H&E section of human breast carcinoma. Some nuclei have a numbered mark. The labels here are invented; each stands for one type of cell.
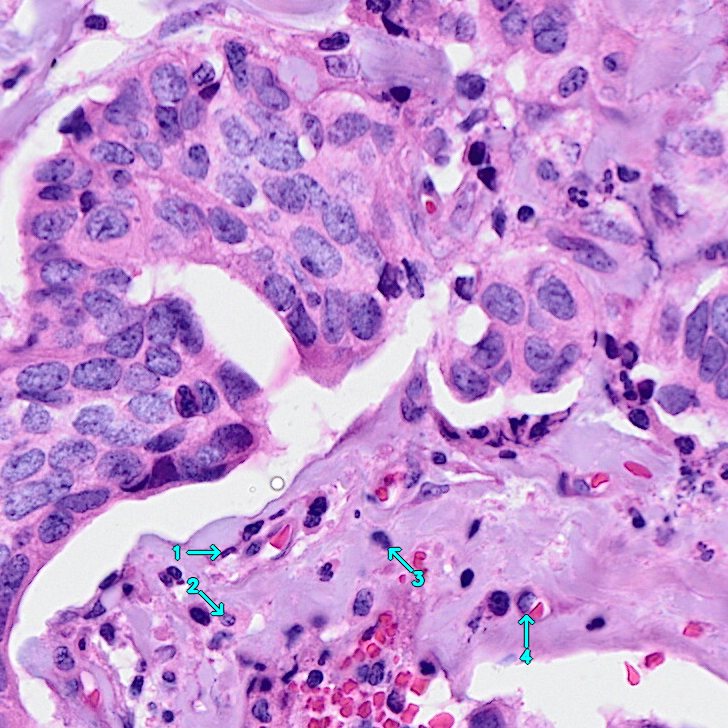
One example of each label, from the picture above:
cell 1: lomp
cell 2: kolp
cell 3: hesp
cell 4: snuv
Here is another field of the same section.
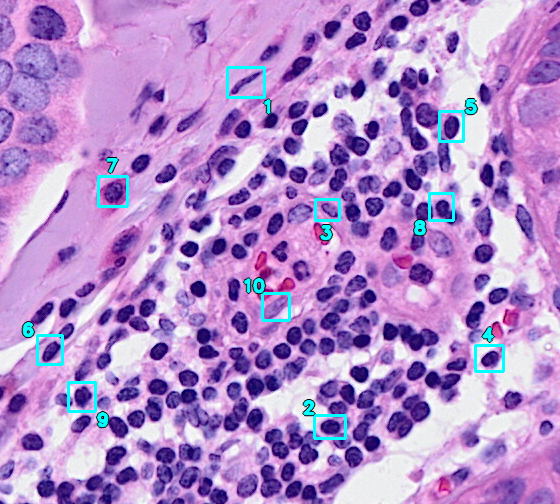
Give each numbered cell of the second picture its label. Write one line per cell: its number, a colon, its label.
1: lomp
2: hesp
3: snuv
4: hesp
5: hesp
6: hesp
7: kolp
8: hesp
9: hesp
10: snuv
